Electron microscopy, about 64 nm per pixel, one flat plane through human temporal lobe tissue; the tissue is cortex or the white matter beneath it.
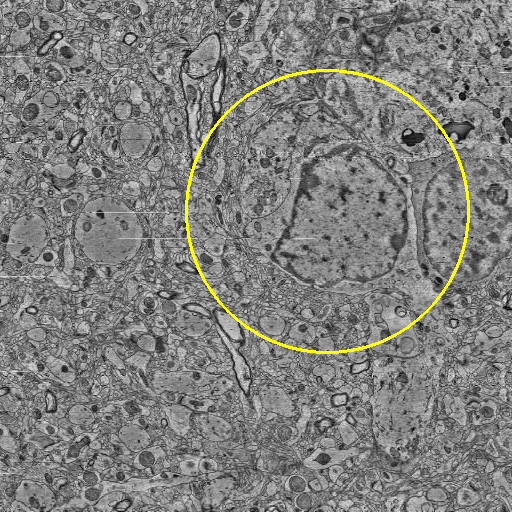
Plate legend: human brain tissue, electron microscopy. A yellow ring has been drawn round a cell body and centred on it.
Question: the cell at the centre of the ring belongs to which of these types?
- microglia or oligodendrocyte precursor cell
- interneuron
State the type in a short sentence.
The cell in the middle of the ring is a microglial cell or oligodendrocyte precursor cell.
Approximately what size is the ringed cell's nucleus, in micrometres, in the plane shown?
Roughly 9 by 8 micrometres is the size of the nucleus in this plane.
